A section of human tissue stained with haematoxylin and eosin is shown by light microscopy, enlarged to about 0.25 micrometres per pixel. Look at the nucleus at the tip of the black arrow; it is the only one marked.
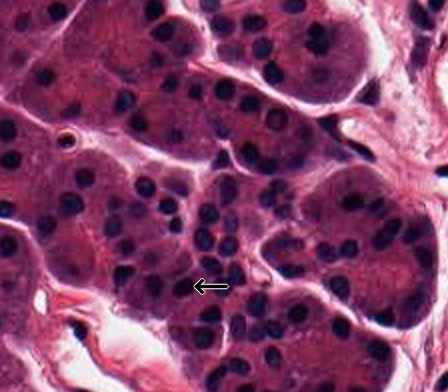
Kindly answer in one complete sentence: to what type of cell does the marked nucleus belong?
The cell to which the marked nucleus belongs is a pancreatic acinar cell.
